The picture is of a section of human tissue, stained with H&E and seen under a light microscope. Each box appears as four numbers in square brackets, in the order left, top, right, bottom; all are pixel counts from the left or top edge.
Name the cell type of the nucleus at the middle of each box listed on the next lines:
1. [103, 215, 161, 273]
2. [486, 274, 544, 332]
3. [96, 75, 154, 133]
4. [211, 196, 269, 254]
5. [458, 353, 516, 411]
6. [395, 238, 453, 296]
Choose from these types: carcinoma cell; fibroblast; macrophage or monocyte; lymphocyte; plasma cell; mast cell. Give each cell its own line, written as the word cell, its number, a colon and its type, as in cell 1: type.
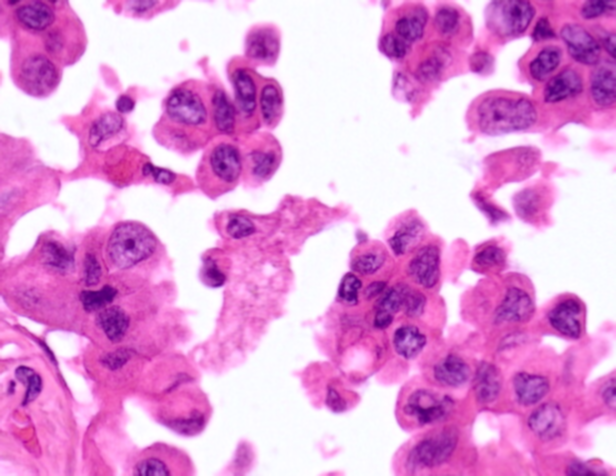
cell 1: carcinoma cell
cell 2: carcinoma cell
cell 3: lymphocyte
cell 4: macrophage or monocyte
cell 5: carcinoma cell
cell 6: carcinoma cell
